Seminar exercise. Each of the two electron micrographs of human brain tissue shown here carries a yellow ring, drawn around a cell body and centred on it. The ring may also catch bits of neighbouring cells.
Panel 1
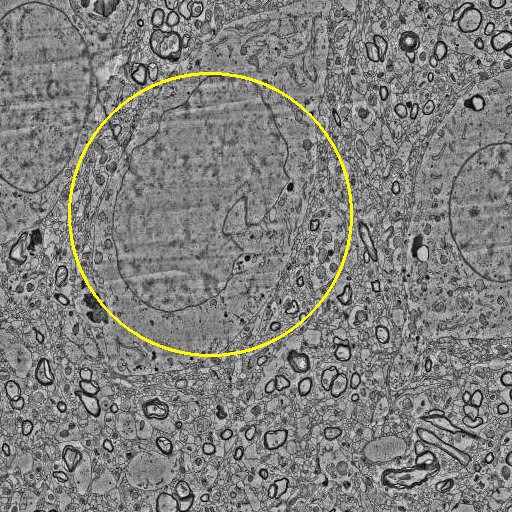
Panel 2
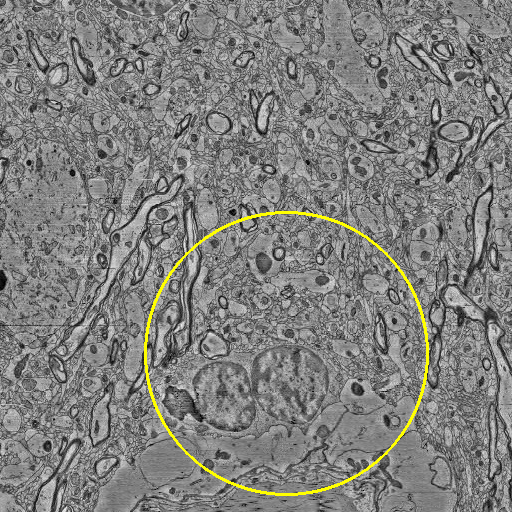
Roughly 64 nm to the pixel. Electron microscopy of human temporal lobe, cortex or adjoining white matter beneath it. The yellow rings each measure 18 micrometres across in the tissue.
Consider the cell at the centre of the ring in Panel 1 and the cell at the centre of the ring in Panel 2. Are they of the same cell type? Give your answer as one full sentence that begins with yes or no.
No, the two cells are of two types.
